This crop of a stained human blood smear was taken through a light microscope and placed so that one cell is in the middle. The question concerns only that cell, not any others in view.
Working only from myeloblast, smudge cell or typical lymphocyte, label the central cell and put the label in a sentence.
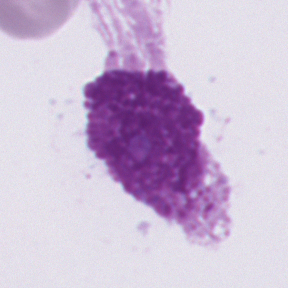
The crop's centre is taken up by a smudge cell.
